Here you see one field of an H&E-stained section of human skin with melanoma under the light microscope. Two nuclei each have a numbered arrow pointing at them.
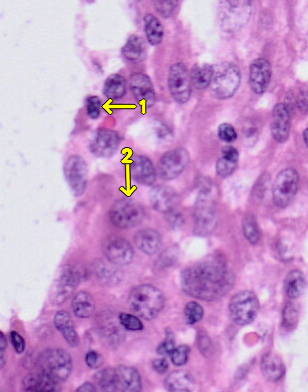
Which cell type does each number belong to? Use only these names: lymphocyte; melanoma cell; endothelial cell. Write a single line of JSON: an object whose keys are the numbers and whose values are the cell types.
{"1": "lymphocyte", "2": "melanoma cell"}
